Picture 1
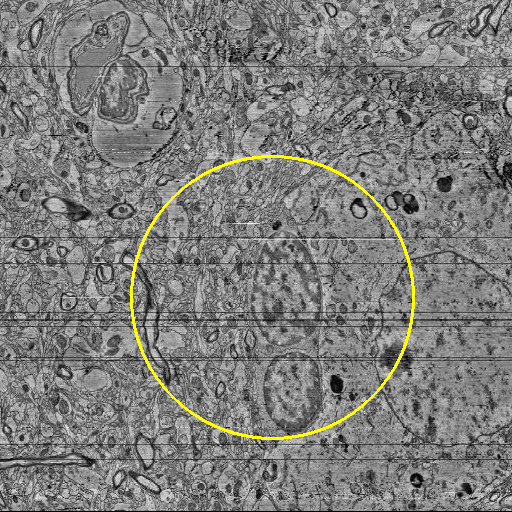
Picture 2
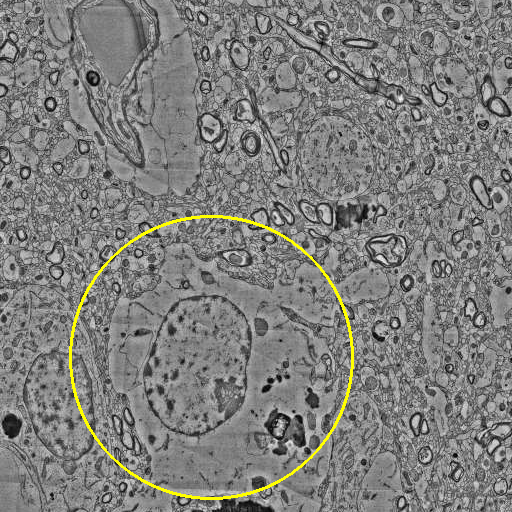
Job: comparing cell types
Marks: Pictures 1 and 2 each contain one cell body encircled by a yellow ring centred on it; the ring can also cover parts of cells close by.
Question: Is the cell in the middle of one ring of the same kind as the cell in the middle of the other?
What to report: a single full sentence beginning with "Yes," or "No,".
No, the cell at the ring centre in Picture 1 and its partner in Picture 2 are of two kinds.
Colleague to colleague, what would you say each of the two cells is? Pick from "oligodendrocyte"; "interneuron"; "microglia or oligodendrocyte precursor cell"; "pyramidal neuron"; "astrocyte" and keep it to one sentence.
The cell in the first picture is an oligodendrocyte; the second picture's cell is an astrocyte.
